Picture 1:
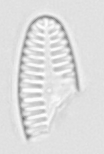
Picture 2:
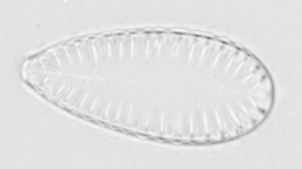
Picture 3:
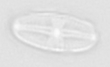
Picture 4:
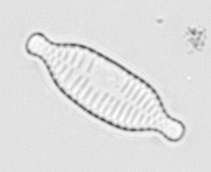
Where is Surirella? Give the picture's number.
2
